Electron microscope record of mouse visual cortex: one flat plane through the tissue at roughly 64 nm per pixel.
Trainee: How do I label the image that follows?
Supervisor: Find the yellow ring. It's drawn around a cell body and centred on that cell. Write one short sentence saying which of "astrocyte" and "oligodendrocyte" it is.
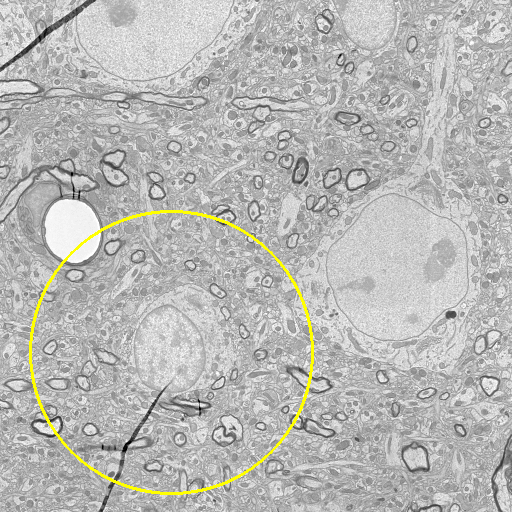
This is the cell body of an oligodendrocyte.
